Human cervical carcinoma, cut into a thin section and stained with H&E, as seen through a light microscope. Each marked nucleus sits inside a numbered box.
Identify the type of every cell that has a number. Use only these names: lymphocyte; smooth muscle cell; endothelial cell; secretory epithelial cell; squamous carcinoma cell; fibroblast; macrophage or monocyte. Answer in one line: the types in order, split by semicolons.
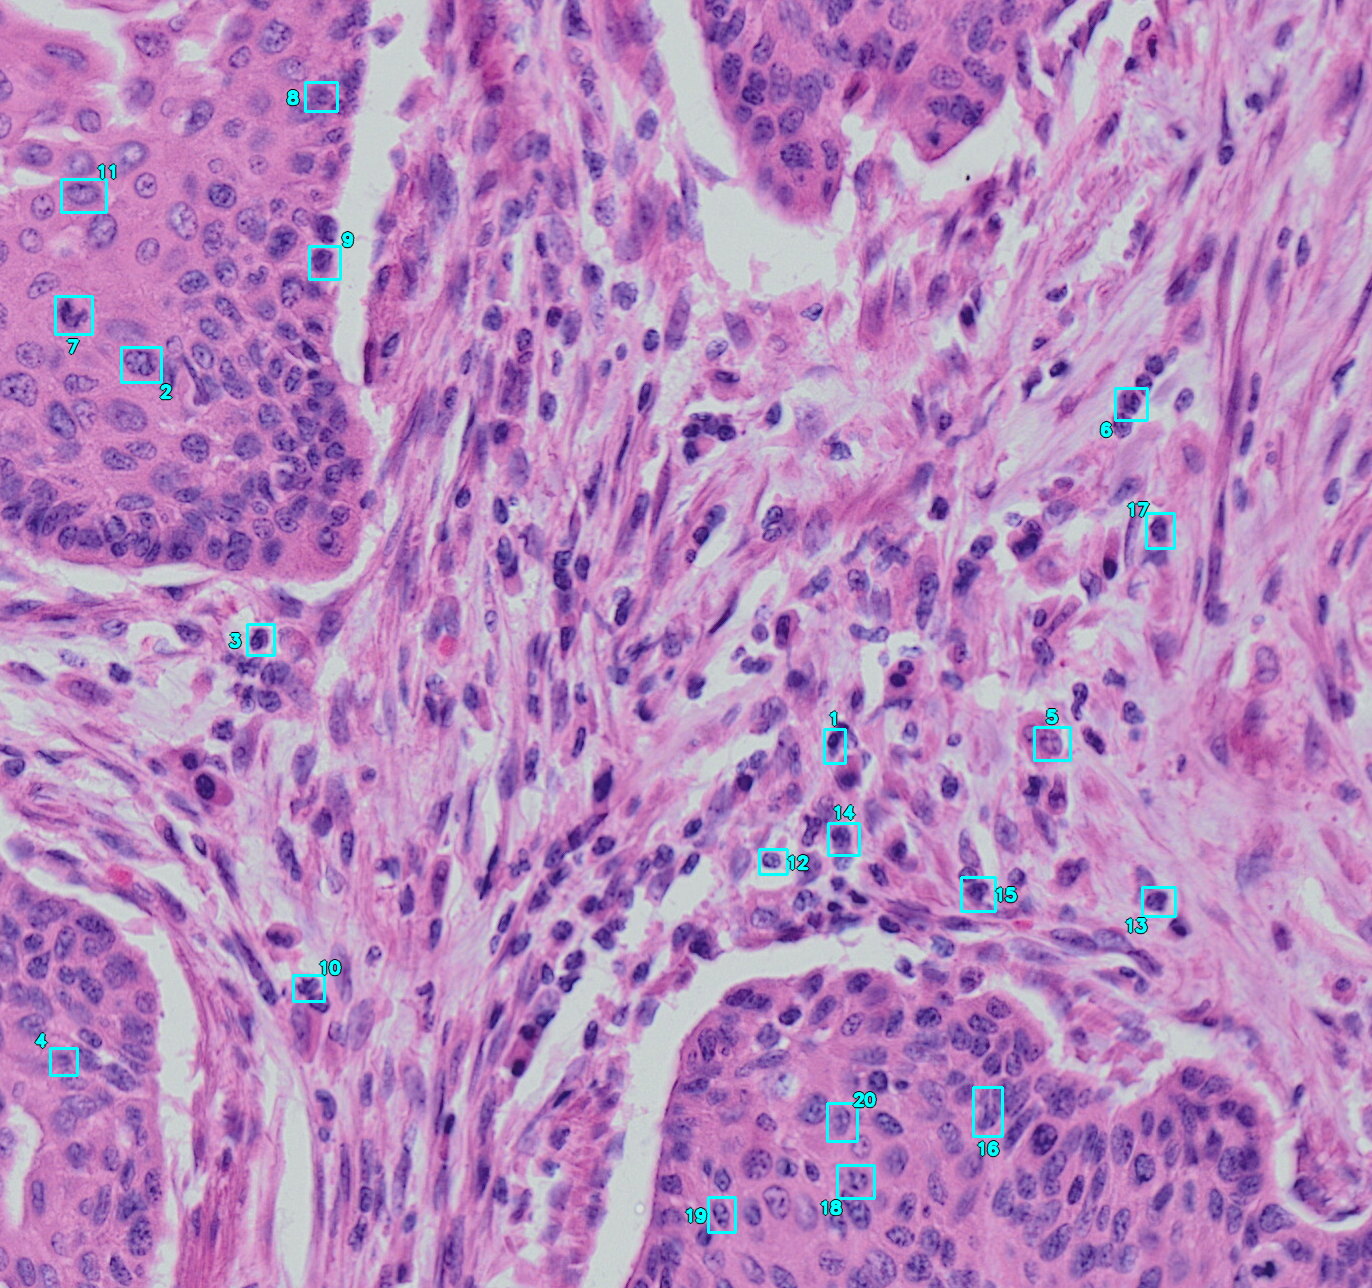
lymphocyte; squamous carcinoma cell; lymphocyte; squamous carcinoma cell; macrophage or monocyte; lymphocyte; squamous carcinoma cell; squamous carcinoma cell; squamous carcinoma cell; lymphocyte; squamous carcinoma cell; lymphocyte; lymphocyte; lymphocyte; lymphocyte; squamous carcinoma cell; lymphocyte; squamous carcinoma cell; squamous carcinoma cell; squamous carcinoma cell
